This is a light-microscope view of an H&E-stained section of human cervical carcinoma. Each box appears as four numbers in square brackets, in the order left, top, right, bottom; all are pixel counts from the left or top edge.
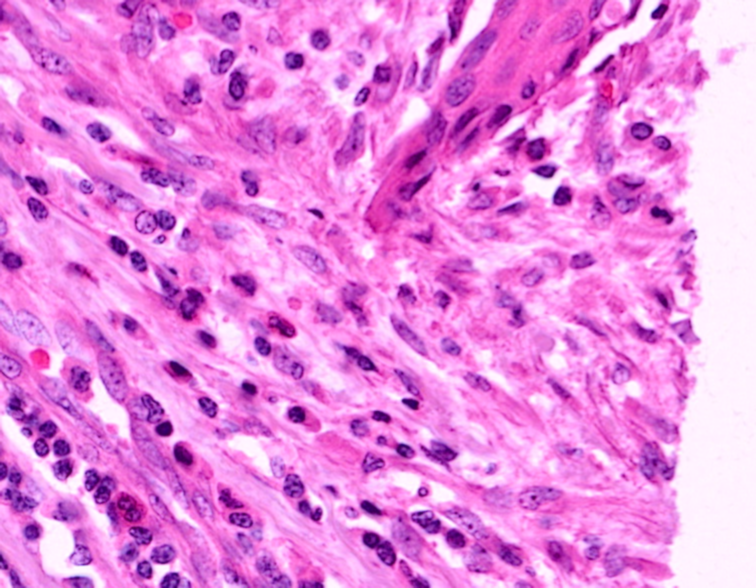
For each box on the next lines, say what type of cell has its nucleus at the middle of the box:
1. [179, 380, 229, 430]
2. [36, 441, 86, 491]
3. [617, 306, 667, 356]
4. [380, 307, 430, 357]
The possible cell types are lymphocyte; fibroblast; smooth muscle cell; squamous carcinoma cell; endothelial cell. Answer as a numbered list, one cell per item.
1. lymphocyte
2. lymphocyte
3. fibroblast
4. fibroblast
